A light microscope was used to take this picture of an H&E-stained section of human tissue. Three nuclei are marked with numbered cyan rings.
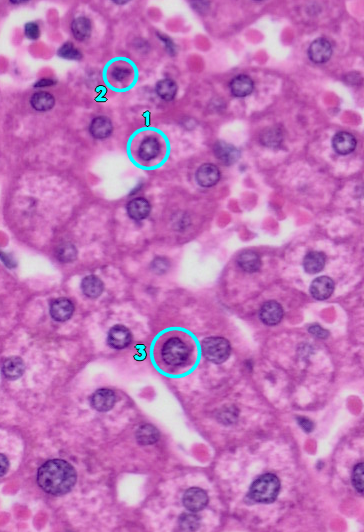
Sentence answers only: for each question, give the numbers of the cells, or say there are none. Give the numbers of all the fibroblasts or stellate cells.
Mind that only cell 2 is a fibroblast or stellate cell, none of the rest.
